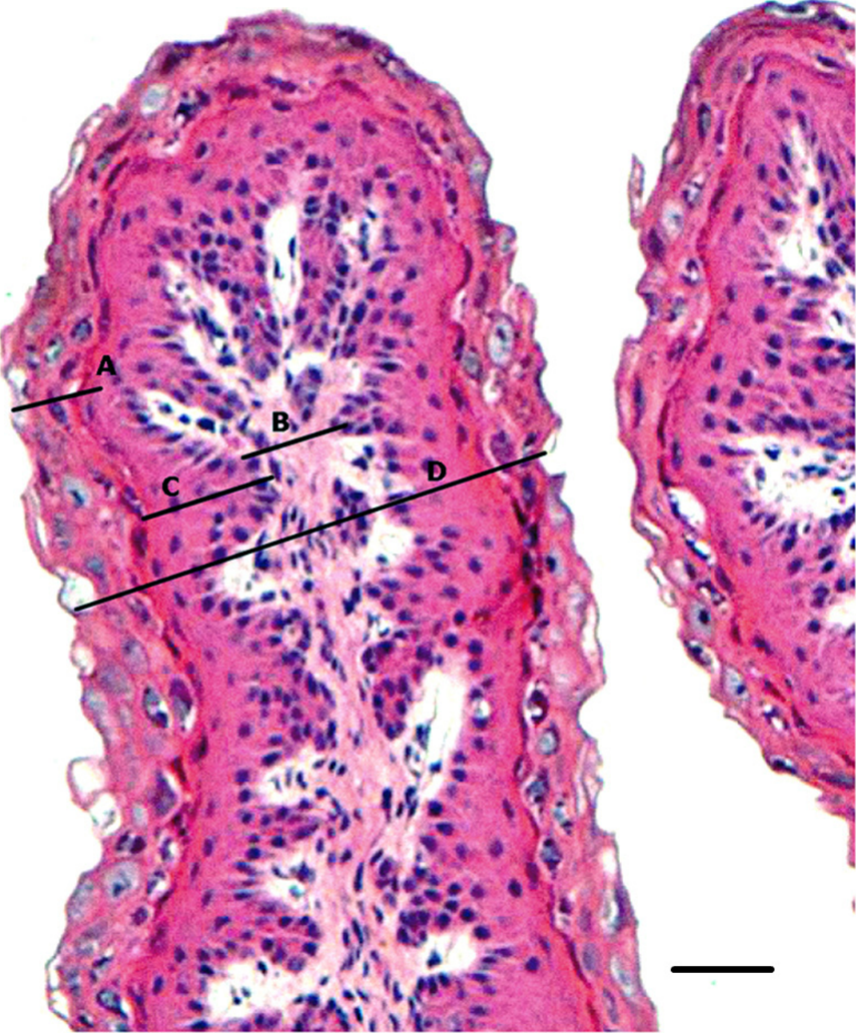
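A ruminal papilla is seen in section as a long finger-like projection with a rounded tip. A further papilla lies partly at the right edge. The papilla has a thick stratified squamous epithelium around a narrow, branching core of pale, loose connective tissue. The core holds scattered elongated nuclei. Next to the core, the basal epithelial cells are crowded and have dark oval nuclei. Toward the surface, the nuclei become sparser and flatter within pink cytoplasm. A dense, deeply pink band follows. Outermost, a loose stratum corneum of pale, swollen, detaching cells lines the surface.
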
